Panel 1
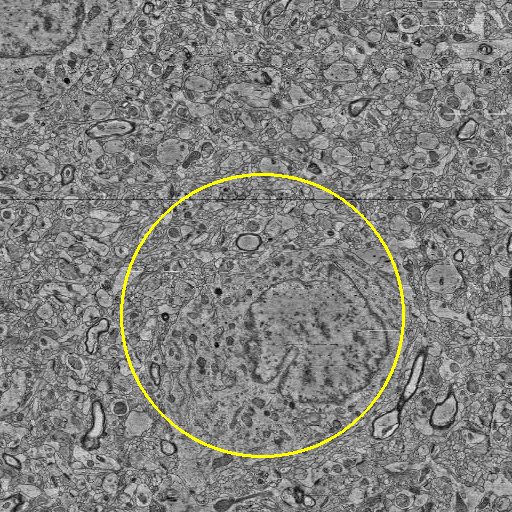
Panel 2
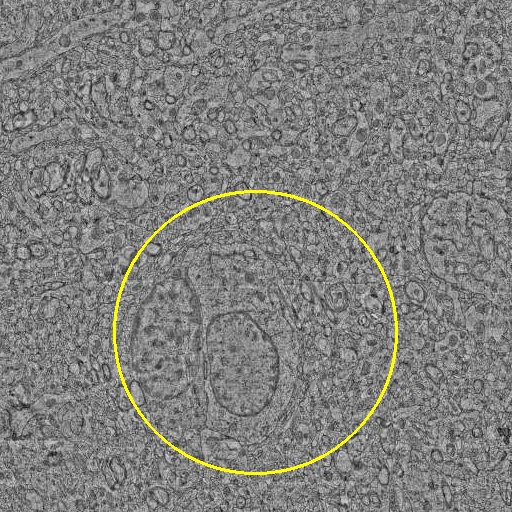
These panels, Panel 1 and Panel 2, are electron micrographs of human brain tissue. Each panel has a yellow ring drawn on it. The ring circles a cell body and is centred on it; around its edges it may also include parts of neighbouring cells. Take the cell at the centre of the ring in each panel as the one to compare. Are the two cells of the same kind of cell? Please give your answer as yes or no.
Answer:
no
